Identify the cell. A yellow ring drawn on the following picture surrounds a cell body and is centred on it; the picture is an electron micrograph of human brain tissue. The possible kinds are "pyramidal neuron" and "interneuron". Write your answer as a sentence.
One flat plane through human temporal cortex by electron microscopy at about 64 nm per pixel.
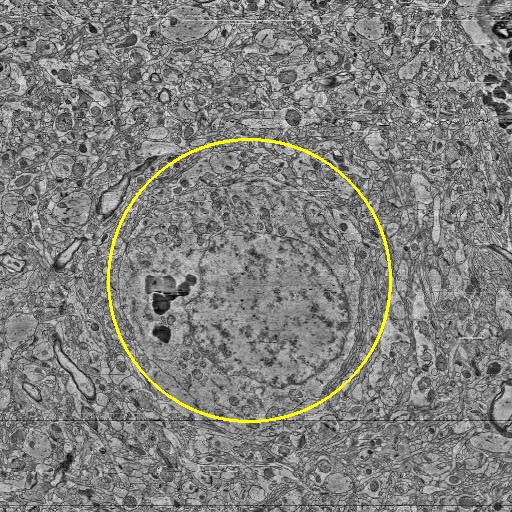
The cell identified by the ring is an interneuron.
